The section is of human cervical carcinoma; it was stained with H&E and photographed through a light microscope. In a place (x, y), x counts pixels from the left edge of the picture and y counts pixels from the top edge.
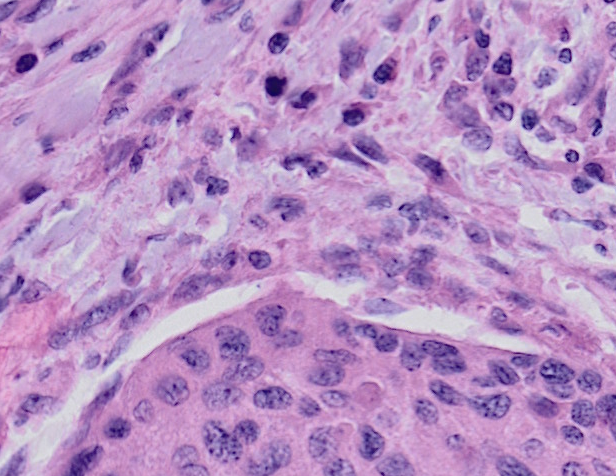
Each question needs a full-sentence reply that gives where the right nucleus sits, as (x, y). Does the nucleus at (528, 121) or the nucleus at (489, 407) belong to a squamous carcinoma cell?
Of the two nuclei present, the one at (489, 407) is within a squamous carcinoma cell.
